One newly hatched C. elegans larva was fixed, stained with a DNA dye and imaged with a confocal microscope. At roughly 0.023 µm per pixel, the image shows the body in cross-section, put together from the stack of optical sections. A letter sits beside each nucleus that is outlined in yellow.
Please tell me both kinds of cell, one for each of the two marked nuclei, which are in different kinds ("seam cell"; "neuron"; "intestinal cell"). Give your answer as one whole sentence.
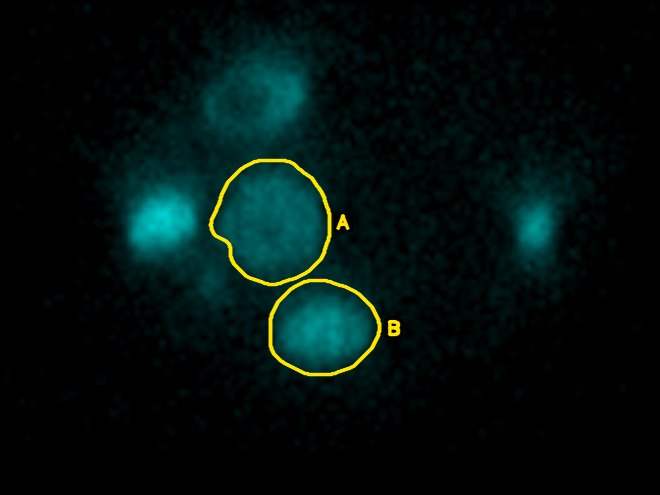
A belongs to an intestinal cell and B to a seam cell.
